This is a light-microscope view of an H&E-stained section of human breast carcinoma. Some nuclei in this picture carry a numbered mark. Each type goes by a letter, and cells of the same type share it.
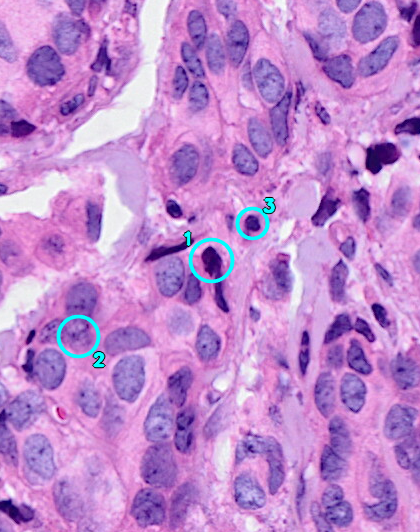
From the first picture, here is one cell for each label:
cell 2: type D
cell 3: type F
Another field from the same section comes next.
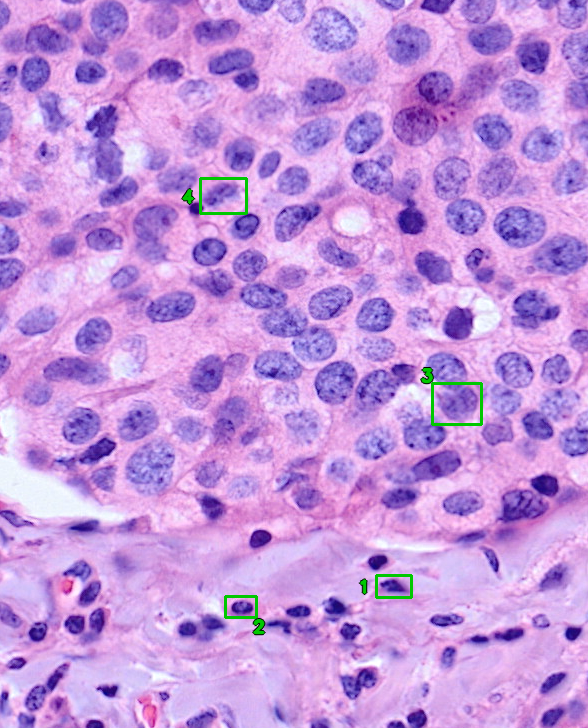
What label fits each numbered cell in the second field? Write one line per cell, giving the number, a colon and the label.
1: type F
2: type F
3: type D
4: type D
